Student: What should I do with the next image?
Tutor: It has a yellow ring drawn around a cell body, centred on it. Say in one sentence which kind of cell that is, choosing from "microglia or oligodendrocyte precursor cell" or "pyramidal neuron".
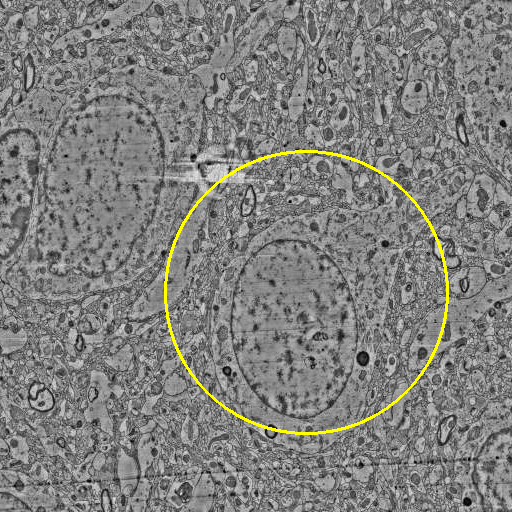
The ring's centre is occupied by a pyramidal neuron.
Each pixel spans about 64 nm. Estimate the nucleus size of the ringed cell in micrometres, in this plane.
In this plane the nucleus measures roughly 12 by 8 micrometers.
